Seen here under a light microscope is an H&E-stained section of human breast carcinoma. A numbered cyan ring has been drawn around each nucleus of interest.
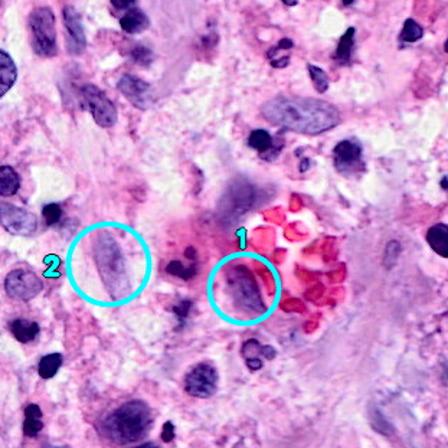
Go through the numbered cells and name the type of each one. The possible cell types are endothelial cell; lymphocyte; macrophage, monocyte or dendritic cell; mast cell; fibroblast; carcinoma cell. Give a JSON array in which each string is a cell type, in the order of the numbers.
["endothelial cell", "fibroblast"]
